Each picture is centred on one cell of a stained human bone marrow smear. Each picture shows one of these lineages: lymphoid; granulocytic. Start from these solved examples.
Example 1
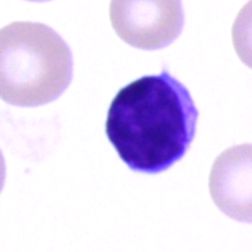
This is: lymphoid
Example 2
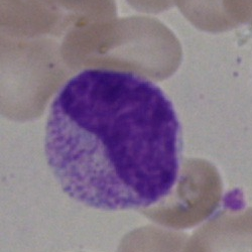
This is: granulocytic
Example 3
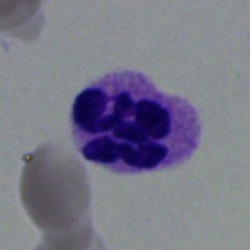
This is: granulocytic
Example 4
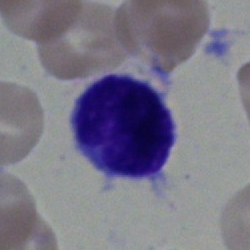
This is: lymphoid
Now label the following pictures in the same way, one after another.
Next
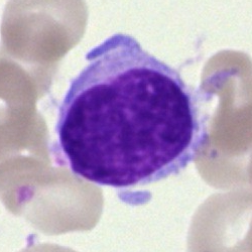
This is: lymphoid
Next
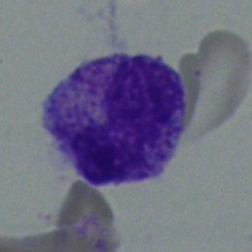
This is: granulocytic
